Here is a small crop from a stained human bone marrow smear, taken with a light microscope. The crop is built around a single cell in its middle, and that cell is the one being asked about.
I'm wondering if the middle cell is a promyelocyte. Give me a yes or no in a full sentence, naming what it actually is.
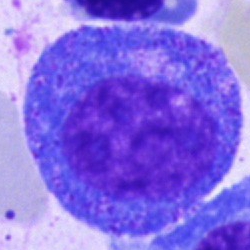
Yes, the cell centred in this crop is a promyelocyte.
